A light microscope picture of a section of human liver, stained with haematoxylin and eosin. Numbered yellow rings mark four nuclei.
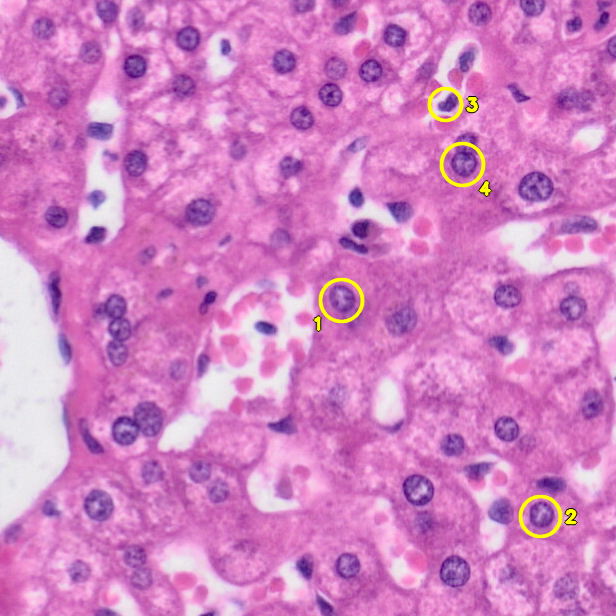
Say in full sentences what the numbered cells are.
Cells 1, 2 and 4 are hepatocytes. Cell 3 is a lymphocyte.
